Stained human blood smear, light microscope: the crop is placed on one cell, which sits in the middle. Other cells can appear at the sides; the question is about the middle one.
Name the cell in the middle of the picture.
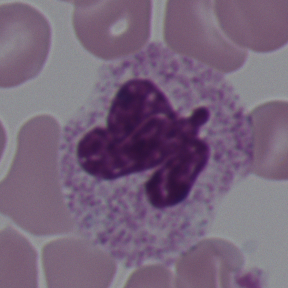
segmented neutrophil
